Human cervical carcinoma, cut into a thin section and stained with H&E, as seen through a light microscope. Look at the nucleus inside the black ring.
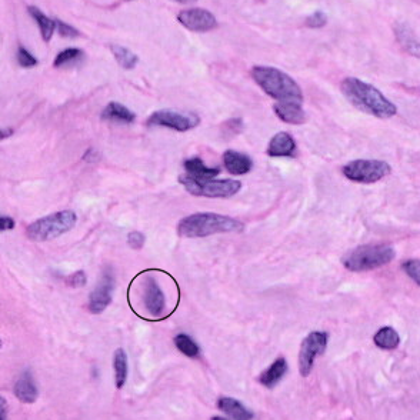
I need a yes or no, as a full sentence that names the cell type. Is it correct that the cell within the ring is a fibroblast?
Yes, the cell within the ring is identified as a fibroblast in this section.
